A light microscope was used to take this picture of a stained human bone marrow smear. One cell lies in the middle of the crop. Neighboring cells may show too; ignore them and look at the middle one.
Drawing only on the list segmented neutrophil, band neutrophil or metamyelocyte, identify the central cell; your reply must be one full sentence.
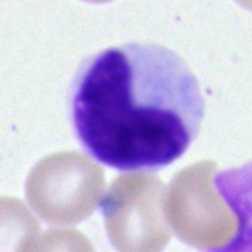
As for the cell in the middle, it is a metamyelocyte.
